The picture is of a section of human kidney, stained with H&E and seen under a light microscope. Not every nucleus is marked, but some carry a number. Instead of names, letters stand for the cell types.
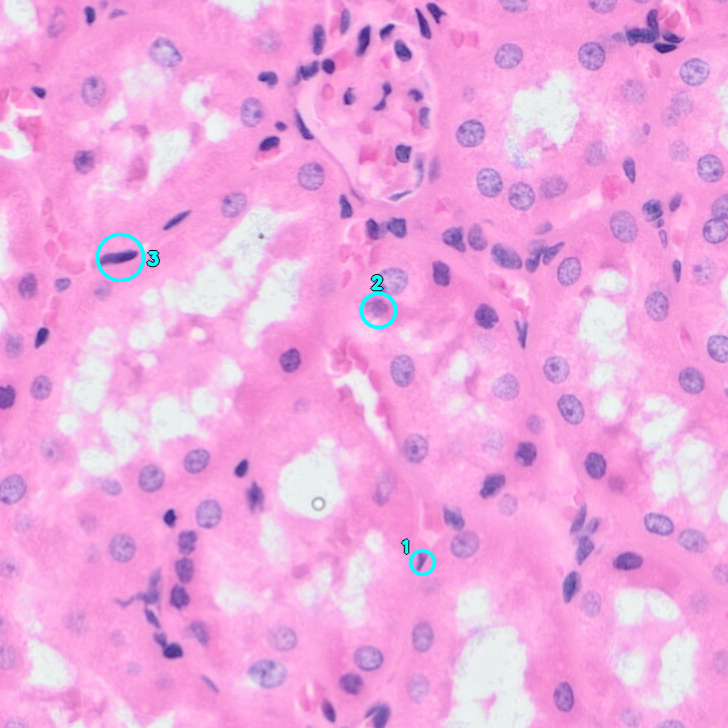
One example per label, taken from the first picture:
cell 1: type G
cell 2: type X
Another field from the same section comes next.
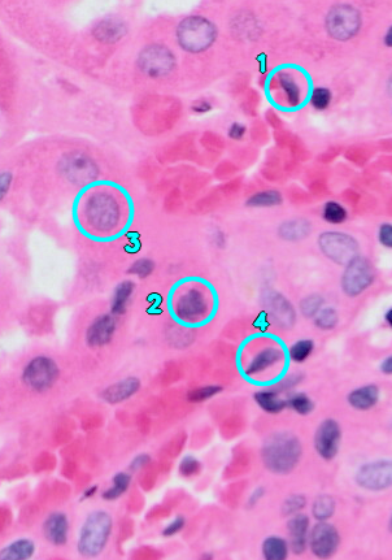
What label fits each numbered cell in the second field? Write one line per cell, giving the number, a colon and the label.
1: type G
2: type X
3: type X
4: type G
